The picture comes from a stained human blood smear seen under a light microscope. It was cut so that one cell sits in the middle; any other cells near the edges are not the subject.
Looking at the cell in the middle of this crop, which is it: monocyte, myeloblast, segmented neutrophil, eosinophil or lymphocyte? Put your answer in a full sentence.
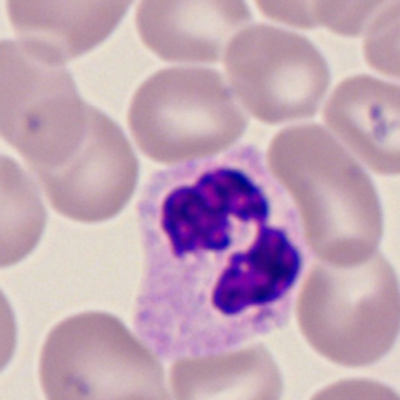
For this crop, the cell in the middle is a segmented neutrophil.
